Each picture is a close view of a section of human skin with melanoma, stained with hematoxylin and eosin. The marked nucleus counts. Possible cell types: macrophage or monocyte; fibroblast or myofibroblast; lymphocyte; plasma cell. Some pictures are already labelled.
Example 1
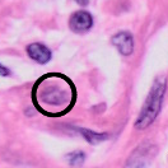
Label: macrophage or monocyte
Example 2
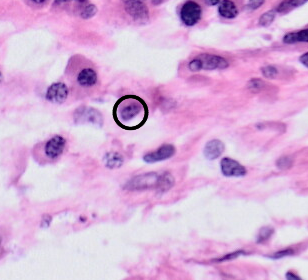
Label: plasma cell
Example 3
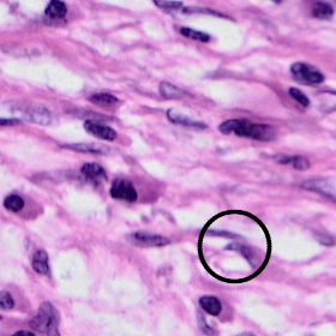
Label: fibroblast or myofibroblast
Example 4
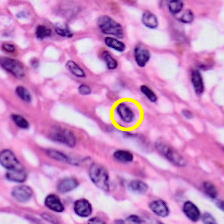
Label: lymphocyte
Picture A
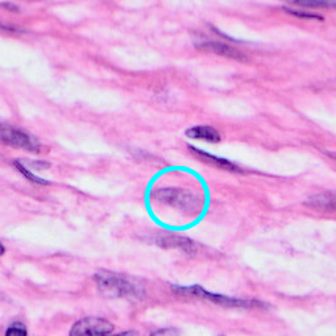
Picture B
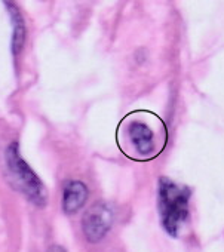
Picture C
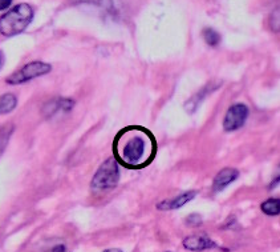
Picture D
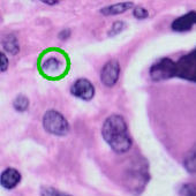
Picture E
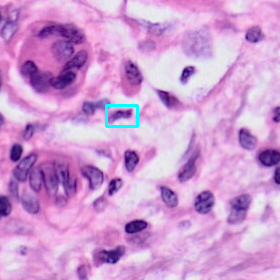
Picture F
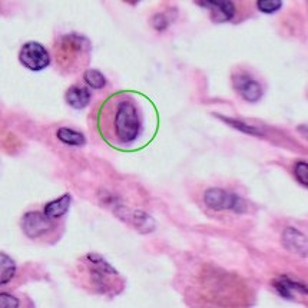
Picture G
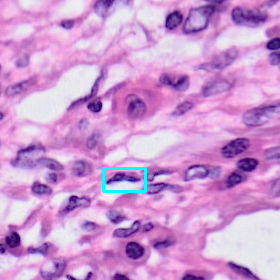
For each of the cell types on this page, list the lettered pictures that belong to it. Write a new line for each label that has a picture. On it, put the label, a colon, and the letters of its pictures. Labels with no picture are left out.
macrophage or monocyte: F
fibroblast or myofibroblast: A, E, G
lymphocyte: B, C, D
